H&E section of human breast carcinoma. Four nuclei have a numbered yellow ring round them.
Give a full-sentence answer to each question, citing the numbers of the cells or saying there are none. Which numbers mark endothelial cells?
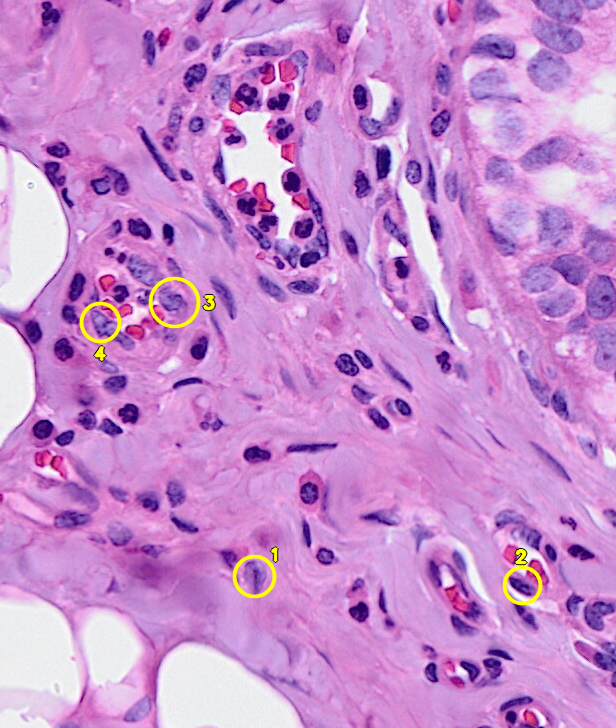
As for the cells numbered 2, 3 and 4, they are endothelial cells.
